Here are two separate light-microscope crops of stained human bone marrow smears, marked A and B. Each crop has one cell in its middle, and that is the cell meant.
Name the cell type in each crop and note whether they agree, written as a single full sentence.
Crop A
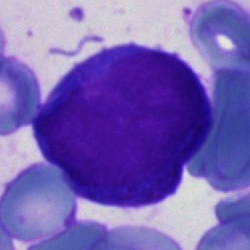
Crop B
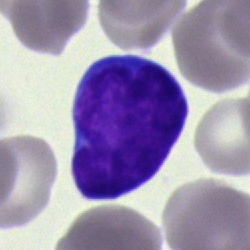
Yes, both crops show blasts, each crop centred on one of them.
